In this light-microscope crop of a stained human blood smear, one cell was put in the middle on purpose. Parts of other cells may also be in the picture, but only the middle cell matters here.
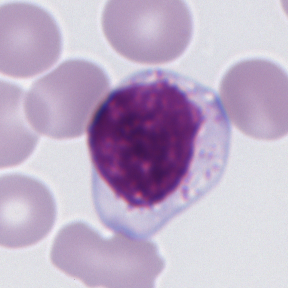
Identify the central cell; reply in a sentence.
In the middle of this smear crop, the cell is a large granular lymphocyte.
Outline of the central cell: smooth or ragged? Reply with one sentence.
The membrane contour is even and smooth, with nothing projecting from it.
